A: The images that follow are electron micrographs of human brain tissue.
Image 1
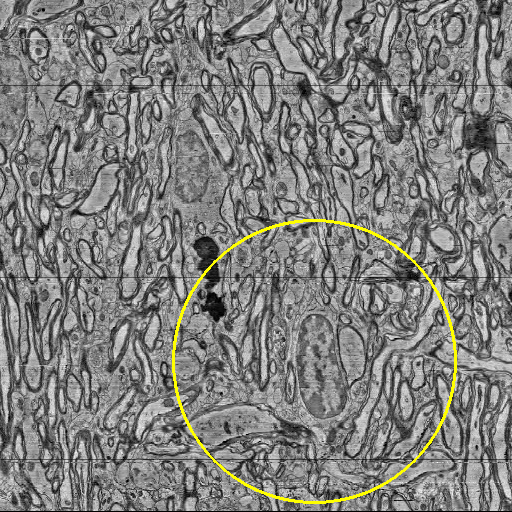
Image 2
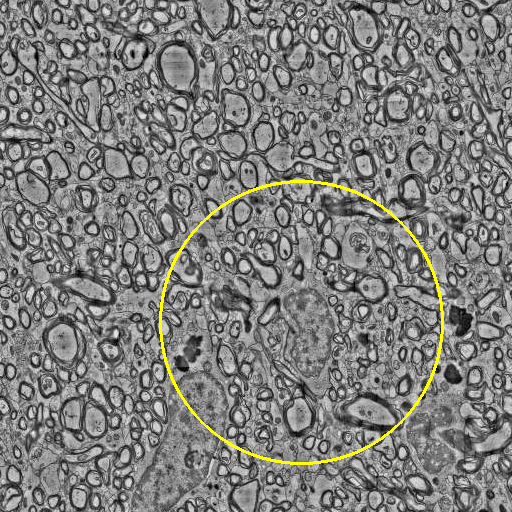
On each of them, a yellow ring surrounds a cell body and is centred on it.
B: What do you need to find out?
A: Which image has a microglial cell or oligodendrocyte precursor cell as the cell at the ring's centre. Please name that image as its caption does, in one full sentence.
Image 1 is the one whose ring has the sought cell at its centre.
